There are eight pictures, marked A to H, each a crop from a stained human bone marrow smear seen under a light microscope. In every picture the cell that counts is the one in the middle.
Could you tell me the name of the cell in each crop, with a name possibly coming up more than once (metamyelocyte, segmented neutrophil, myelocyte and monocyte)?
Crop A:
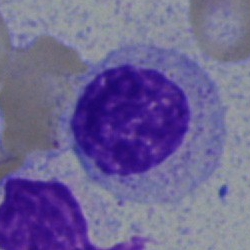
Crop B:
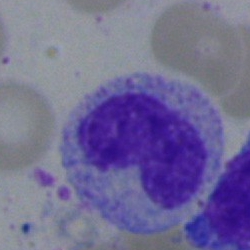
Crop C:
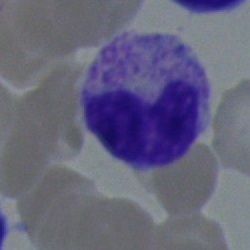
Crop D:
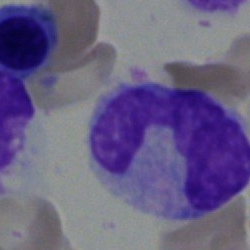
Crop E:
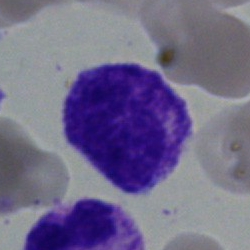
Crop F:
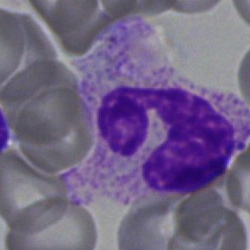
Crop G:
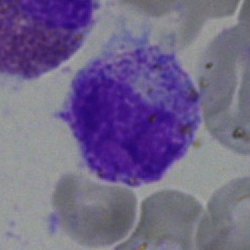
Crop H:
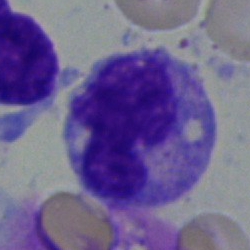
A: myelocyte
B: metamyelocyte
C: metamyelocyte
D: monocyte
E: myelocyte
F: segmented neutrophil
G: metamyelocyte
H: monocyte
